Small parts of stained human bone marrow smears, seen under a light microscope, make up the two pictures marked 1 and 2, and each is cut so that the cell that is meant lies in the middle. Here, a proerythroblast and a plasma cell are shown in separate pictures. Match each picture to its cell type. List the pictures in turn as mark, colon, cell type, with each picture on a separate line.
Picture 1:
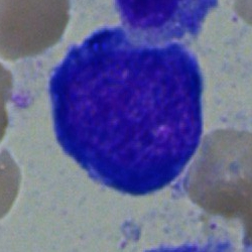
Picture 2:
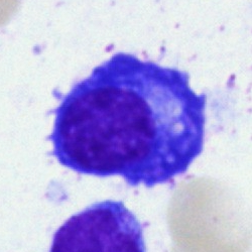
1: proerythroblast
2: plasma cell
